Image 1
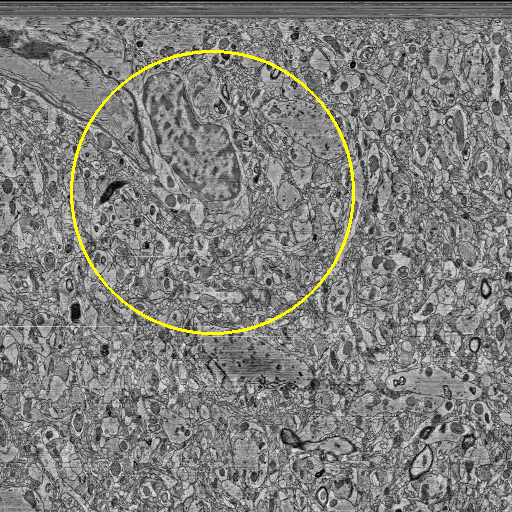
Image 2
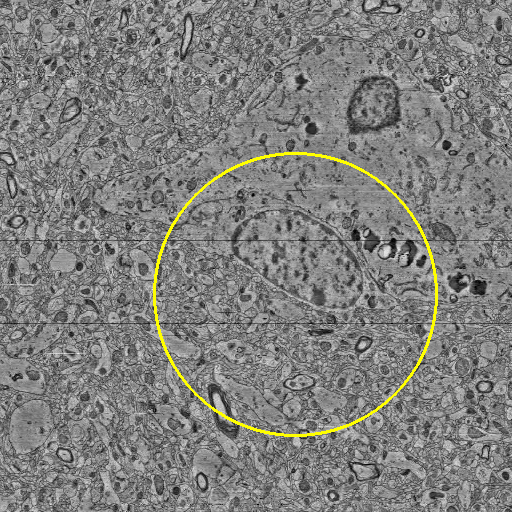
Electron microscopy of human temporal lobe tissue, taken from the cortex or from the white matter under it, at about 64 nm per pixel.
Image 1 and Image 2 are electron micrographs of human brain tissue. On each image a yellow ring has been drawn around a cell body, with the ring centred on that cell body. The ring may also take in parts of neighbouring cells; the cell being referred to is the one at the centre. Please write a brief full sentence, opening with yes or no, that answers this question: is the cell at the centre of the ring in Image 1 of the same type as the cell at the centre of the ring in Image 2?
Yes, both cells are of the same type.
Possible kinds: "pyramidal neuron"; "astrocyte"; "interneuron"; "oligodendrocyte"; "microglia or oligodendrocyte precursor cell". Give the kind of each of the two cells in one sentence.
Both rings mark a microglial cell or oligodendrocyte precursor cell, one in each picture.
